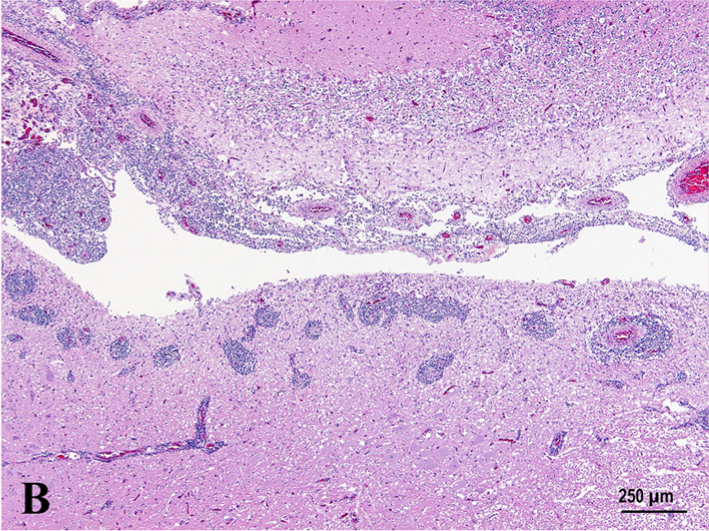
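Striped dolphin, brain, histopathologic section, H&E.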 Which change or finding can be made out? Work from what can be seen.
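Dense dark-blue clusters of small nuclei form cuffs around small blood vessels. The cuffs are scattered through the pale pink tissue below the open cleft. A vessel with a red lumen on the right is ringed by a thick blue cellular collar.
Answer: perivascular infiltrates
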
